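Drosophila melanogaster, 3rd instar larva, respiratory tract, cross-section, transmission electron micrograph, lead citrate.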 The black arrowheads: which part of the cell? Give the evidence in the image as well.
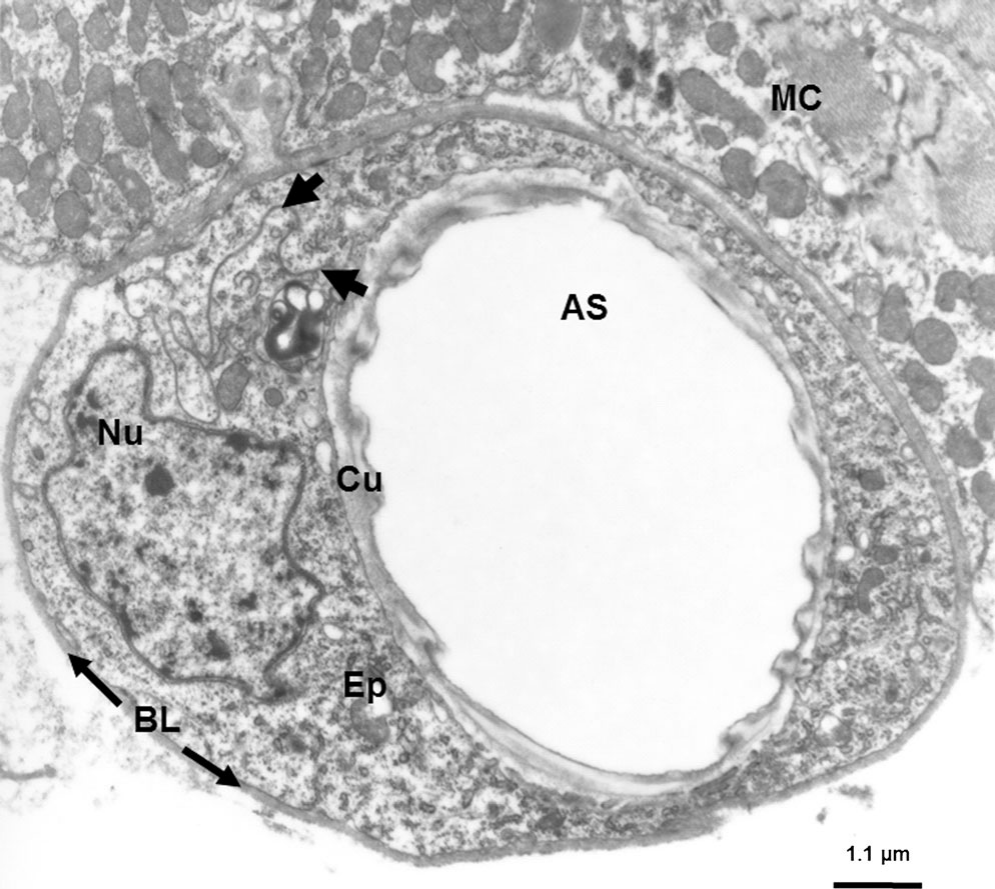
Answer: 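The arrowheads point to a thin, winding membrane line running through the epithelial cytoplasm. The line runs from near the lumen towards the outer surface of the epithelium. So: cellular junction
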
